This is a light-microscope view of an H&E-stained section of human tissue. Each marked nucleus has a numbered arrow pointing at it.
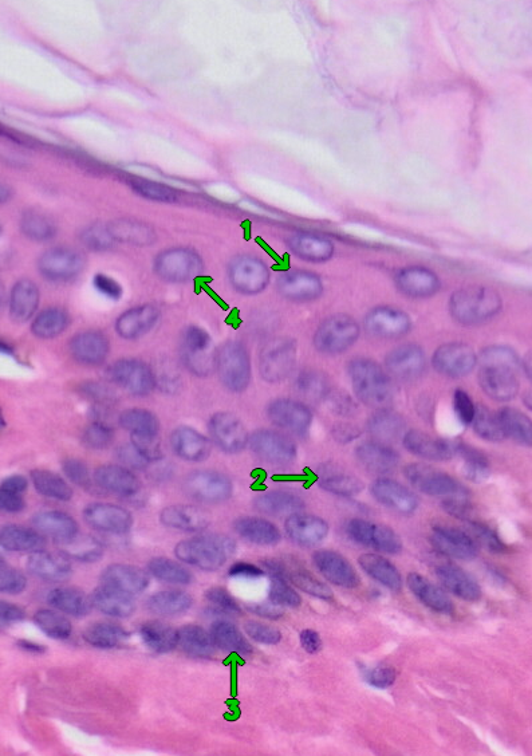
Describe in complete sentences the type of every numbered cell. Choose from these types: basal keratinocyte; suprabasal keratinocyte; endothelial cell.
Cells 1, 2 and 4 are suprabasal keratinocytes. Cell 3 is a basal keratinocyte.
